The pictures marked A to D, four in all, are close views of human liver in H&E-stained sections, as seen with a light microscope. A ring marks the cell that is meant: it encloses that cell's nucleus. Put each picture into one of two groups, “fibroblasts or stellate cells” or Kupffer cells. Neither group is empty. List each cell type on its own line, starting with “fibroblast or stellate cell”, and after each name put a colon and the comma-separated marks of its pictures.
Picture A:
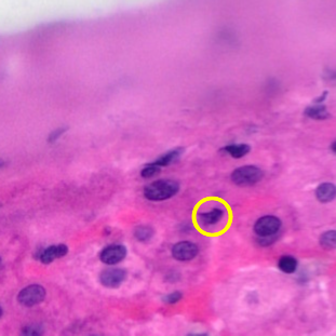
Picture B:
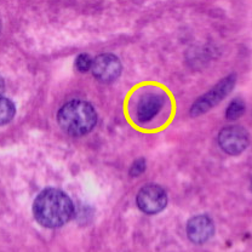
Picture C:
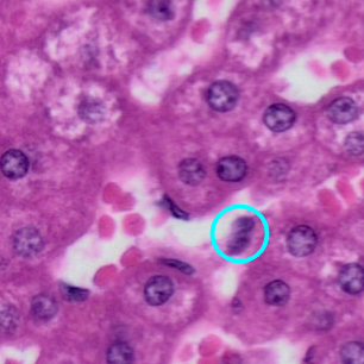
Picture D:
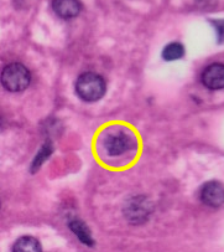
fibroblast or stellate cell: A, B, D
Kupffer cell: C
